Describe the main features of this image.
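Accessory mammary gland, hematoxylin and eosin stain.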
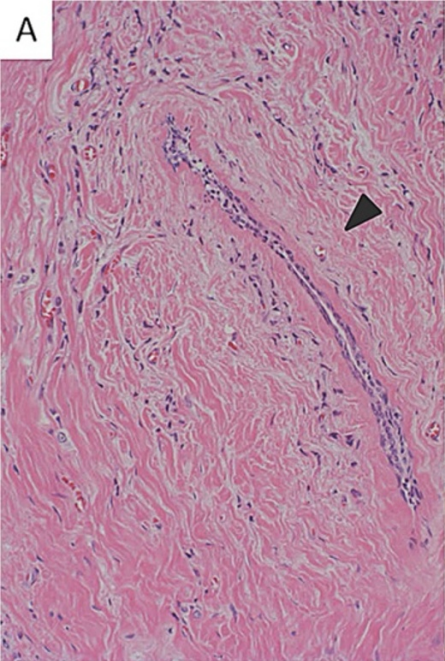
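Scattered small cells with dark nuclei are spread through the stroma around the duct, some in thin lines. Small blood vessels containing red blood cells are seen in the surrounding tissue.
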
